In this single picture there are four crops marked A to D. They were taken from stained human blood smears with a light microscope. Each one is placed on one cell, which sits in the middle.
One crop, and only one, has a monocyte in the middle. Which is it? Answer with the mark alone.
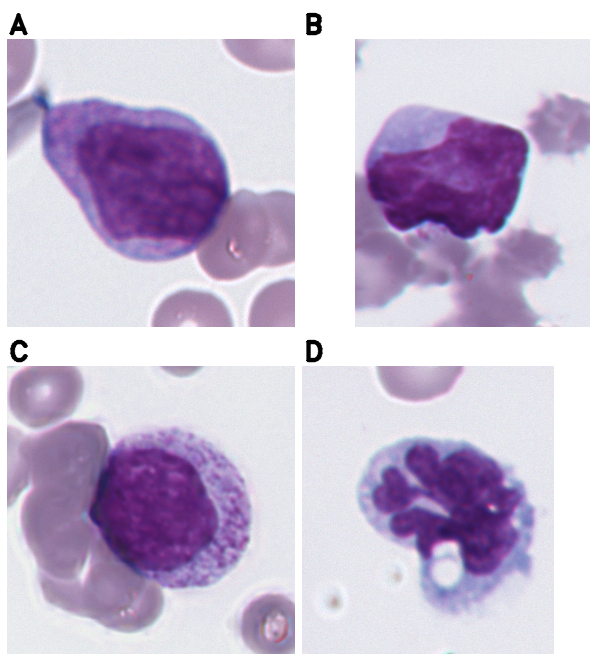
D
